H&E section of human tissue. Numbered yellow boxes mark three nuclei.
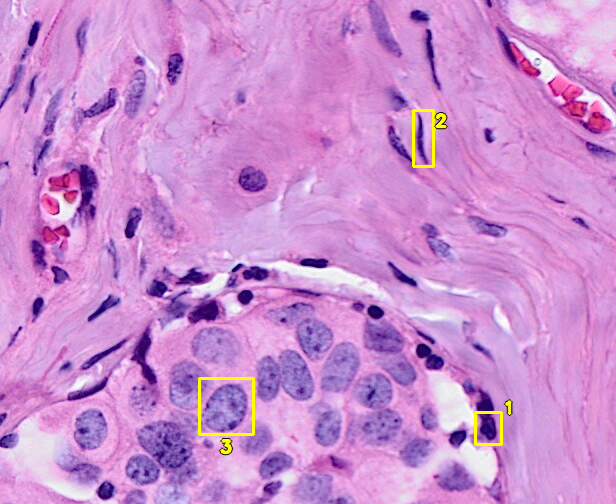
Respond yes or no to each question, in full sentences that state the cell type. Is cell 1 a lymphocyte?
Yes, the cell labelled with number 1 is a lymphocyte.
